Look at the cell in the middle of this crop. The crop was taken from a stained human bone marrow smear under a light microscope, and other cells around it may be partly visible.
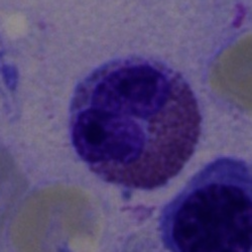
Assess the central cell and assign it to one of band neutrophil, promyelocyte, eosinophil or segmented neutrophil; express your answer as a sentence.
The central cell, amid any neighbouring cells, is an eosinophil.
